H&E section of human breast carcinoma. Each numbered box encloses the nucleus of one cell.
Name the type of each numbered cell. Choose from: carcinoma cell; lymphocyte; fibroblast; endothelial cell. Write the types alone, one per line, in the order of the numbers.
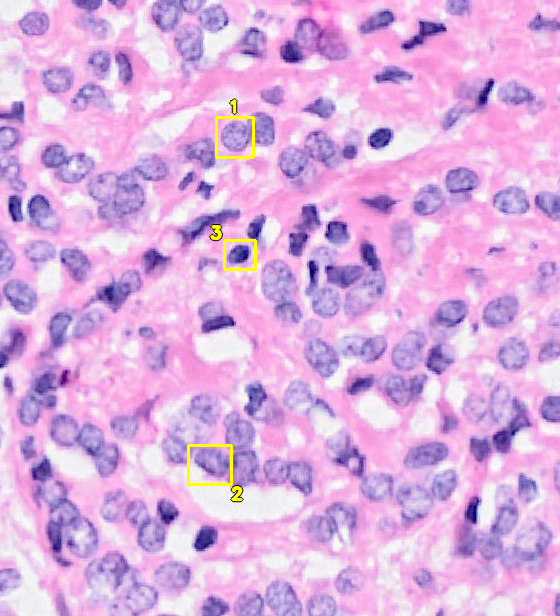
carcinoma cell
carcinoma cell
lymphocyte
